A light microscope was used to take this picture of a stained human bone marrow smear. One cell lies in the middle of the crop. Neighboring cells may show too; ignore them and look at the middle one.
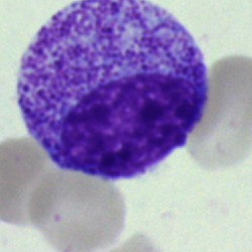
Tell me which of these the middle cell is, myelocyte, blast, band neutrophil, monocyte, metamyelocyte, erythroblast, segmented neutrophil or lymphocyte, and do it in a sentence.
What sits at the centre of this crop is a myelocyte.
